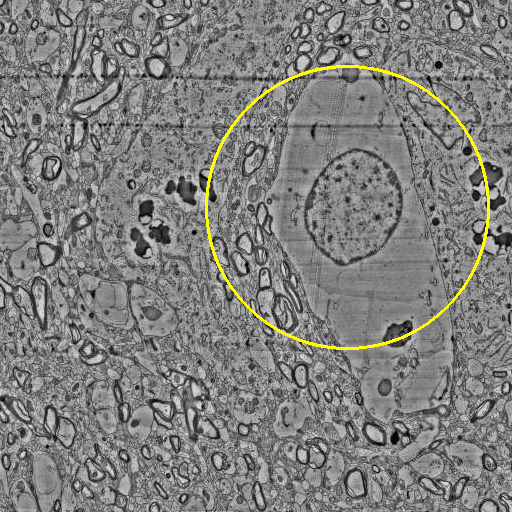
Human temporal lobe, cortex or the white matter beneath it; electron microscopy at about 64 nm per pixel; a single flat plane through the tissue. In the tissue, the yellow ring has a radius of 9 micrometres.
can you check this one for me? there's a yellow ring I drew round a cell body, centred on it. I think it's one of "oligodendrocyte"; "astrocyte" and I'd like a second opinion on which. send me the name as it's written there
astrocyte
